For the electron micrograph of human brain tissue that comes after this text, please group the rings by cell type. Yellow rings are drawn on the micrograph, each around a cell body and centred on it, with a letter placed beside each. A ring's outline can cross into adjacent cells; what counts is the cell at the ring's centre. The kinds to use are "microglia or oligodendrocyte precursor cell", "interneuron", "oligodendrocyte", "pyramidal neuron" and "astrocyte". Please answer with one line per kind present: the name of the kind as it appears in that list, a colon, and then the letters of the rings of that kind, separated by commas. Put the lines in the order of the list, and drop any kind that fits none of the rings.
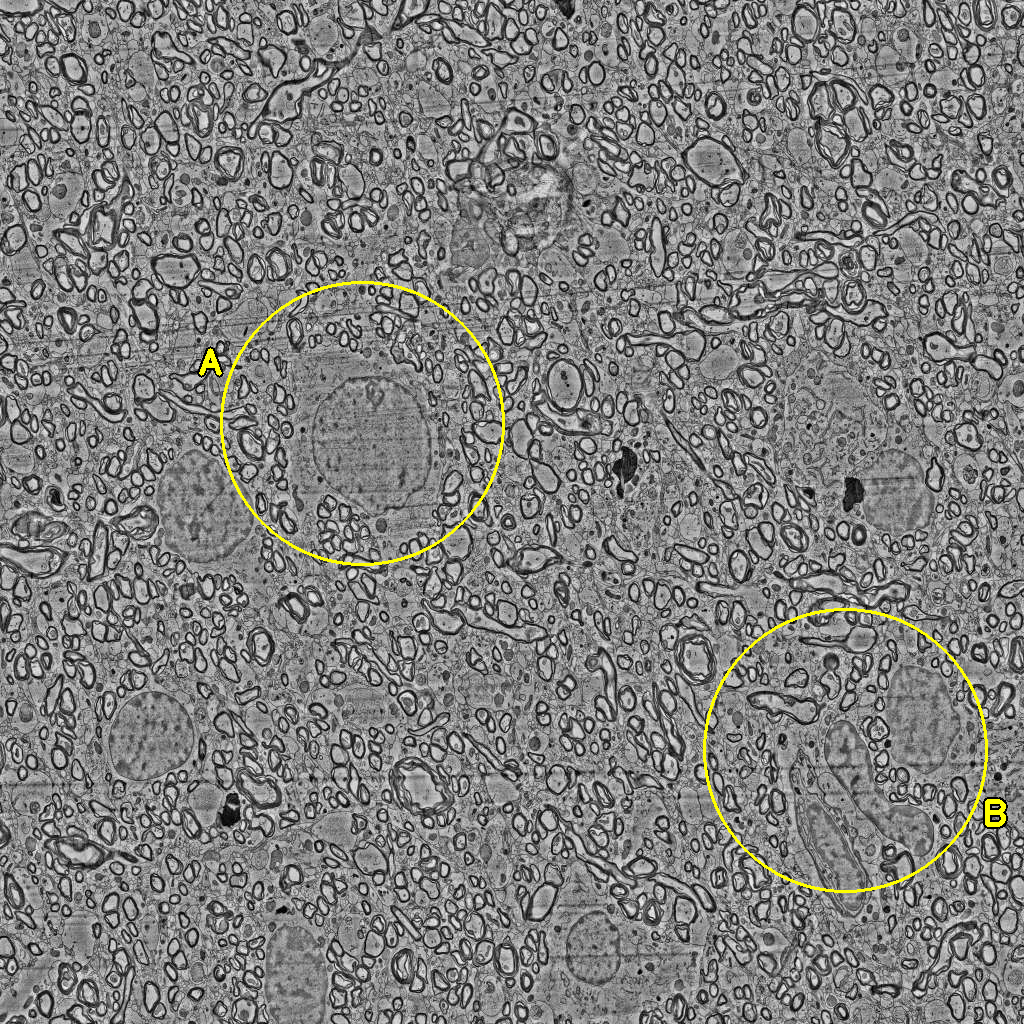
microglia or oligodendrocyte precursor cell: B
astrocyte: A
